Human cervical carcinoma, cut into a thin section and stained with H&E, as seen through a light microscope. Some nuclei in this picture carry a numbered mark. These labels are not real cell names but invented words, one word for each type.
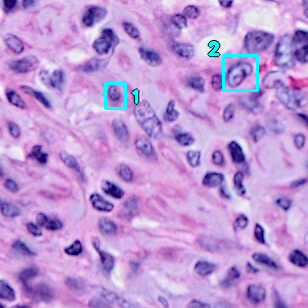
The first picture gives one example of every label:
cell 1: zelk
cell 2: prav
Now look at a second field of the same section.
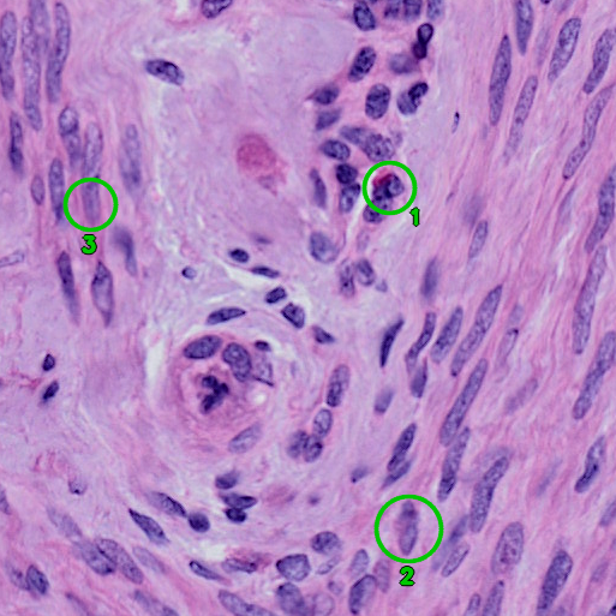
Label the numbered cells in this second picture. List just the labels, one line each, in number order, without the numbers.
prav
zelk
zelk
